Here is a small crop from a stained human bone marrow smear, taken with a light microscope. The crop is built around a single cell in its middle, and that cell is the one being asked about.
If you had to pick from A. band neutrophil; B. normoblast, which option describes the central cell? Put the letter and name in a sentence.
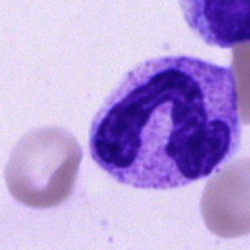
Option A is correct, and the cell in the centre is a band neutrophil.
